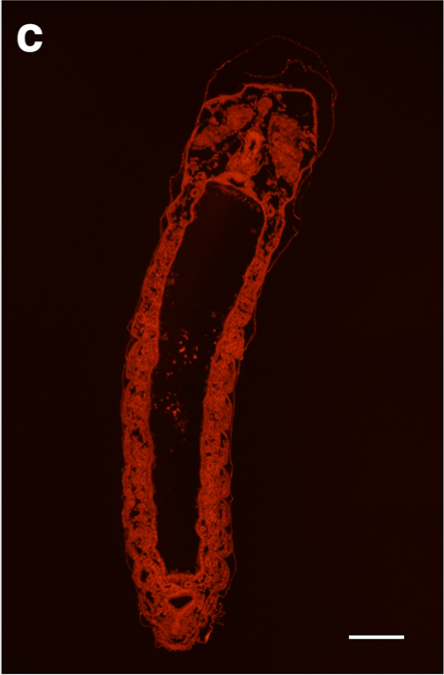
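Along both sides, the tissue forms a row of repeated rounded bulges that give a segmented, beaded outline. The wider top end contains several rounded, paired-looking tissue masses. A thin envelope loosely surrounds the whole. The central core is dark, with only a few bright dots near its middle. Tissue also gathers at the narrow lower end, around a small triangular opening.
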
